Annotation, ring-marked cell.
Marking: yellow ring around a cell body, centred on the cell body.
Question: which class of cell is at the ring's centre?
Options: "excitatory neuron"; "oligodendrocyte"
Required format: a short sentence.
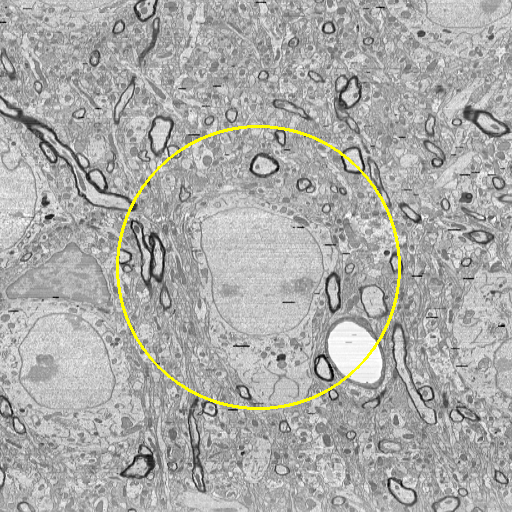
At the ring's centre is an excitatory neuron.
